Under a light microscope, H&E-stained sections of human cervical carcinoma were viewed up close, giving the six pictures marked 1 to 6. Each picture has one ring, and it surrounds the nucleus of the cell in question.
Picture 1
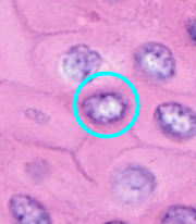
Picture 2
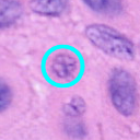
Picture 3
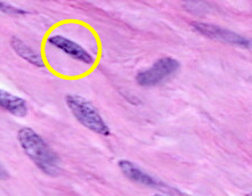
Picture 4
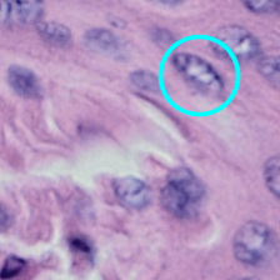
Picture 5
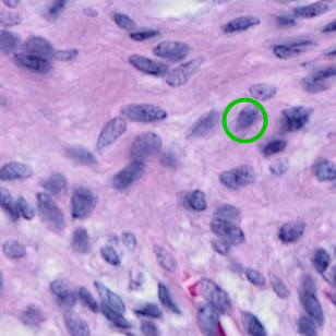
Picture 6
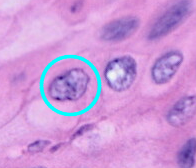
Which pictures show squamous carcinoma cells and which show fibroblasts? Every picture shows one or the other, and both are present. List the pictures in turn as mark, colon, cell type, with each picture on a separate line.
1: squamous carcinoma cell
2: squamous carcinoma cell
3: fibroblast
4: squamous carcinoma cell
5: fibroblast
6: squamous carcinoma cell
